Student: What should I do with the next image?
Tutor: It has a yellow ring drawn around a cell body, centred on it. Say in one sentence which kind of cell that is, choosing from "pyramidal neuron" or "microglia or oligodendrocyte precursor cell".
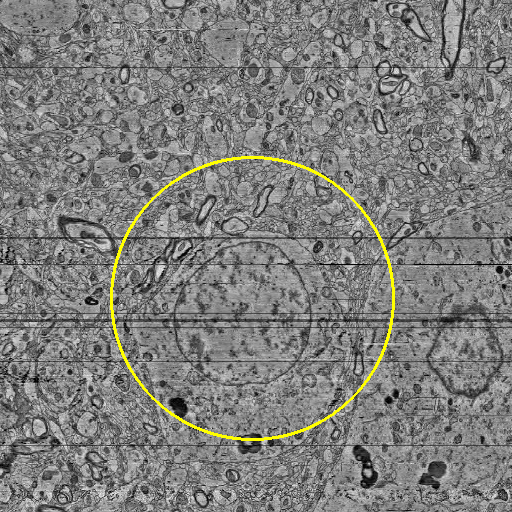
The ring's centre is occupied by a pyramidal neuron.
